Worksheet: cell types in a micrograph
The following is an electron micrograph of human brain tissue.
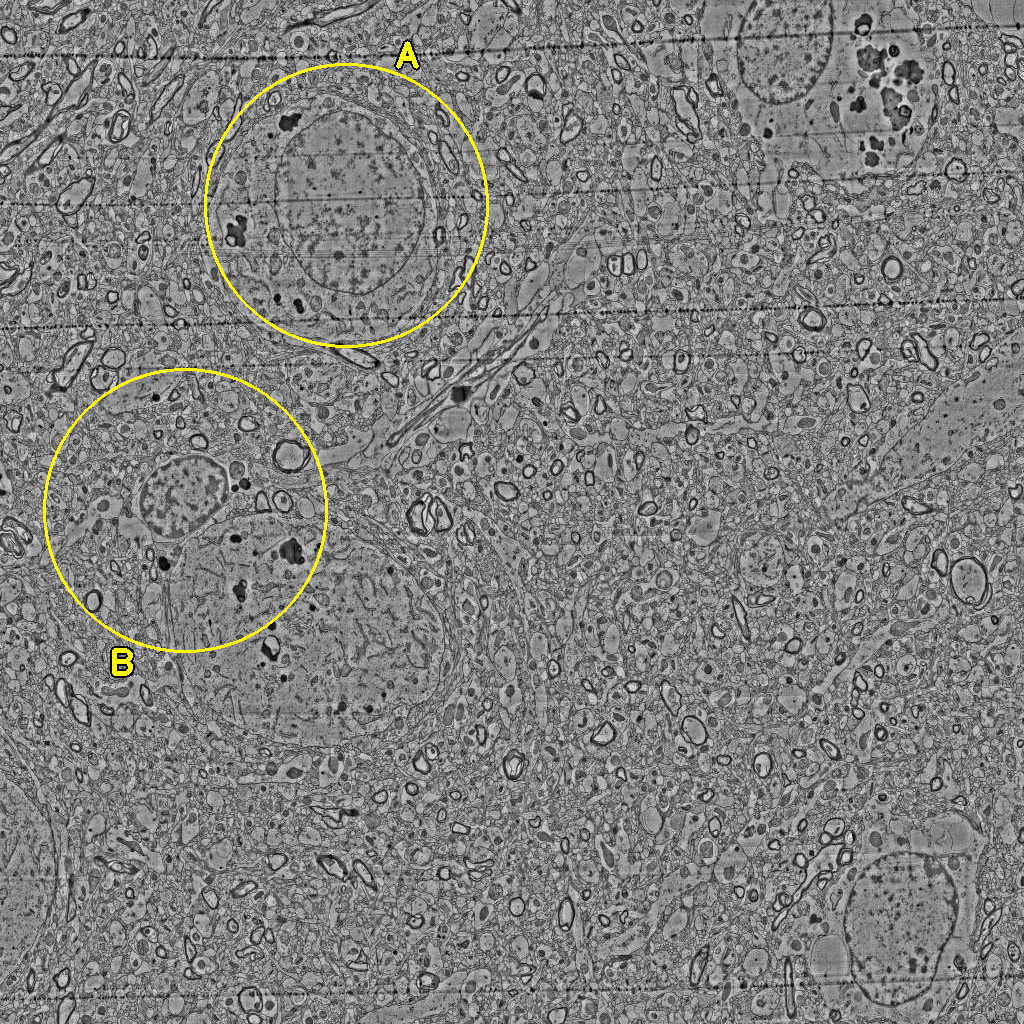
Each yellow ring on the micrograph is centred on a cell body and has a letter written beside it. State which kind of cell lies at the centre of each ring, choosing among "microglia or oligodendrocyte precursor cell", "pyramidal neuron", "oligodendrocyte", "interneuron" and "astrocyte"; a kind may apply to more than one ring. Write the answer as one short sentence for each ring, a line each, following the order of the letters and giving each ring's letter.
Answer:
Ring A has a pyramidal neuron in its centre.
Ring B has a microglial cell or oligodendrocyte precursor cell in its centre.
